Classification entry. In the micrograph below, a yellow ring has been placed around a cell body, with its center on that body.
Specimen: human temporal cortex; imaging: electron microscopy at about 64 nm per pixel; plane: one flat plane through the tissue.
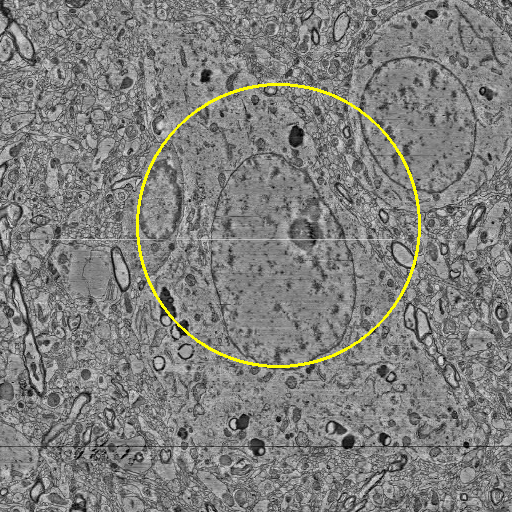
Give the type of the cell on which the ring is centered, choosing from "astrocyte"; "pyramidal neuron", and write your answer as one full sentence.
The cell body at the center of the yellow ring belongs to a pyramidal neuron.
